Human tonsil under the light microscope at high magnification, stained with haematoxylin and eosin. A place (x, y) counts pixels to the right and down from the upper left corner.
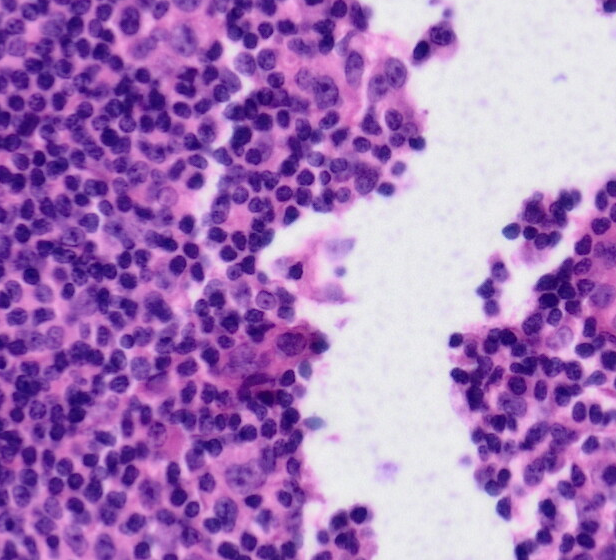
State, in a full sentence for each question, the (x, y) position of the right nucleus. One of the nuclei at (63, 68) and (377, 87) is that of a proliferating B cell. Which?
Of the two nuclei, the one at (377, 87) belongs to a proliferating B cell.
